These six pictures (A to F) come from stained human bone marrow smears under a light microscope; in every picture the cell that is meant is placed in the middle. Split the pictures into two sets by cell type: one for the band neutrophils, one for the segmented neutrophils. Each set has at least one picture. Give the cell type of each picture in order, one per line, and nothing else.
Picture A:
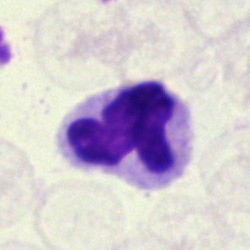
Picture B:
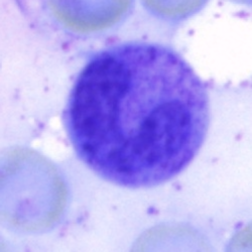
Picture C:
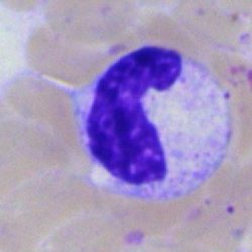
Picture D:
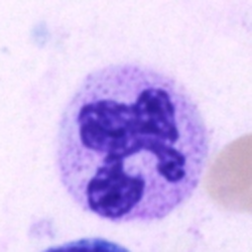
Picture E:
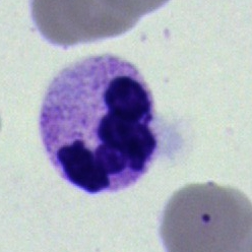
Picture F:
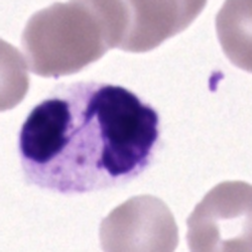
segmented neutrophil
band neutrophil
band neutrophil
segmented neutrophil
segmented neutrophil
segmented neutrophil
